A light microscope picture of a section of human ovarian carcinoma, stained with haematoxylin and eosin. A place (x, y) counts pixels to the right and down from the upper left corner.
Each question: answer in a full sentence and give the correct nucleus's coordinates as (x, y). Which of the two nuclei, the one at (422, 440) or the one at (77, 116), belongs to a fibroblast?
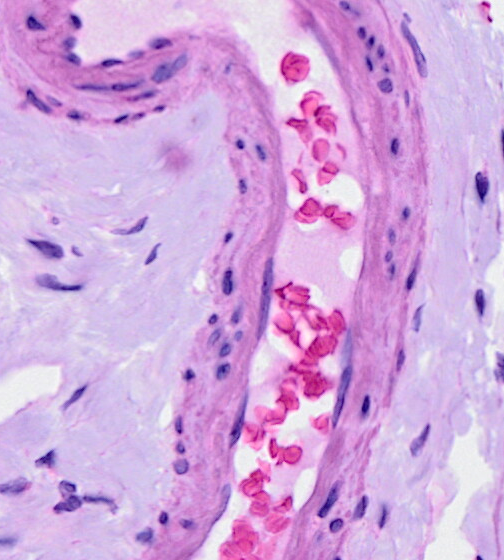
Housed in a fibroblast is the nucleus at (422, 440), not the other one.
